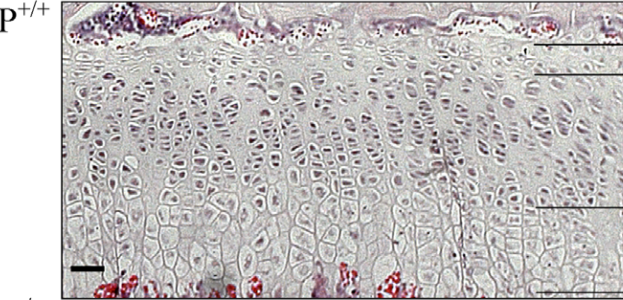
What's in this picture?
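Growth plate cartilage whose chondrocytes form vertical columns through three zones. At the top a thin layer of sparse, small rounded chondrocytes lies below a band with purple nuclei and red blood cells. In the lower part the cells are enlarged, with clear cytoplasm and large rounded lacunae, still in columns. Along the bottom edge red blood cells occupy spaces between the column ends.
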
